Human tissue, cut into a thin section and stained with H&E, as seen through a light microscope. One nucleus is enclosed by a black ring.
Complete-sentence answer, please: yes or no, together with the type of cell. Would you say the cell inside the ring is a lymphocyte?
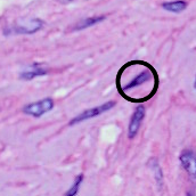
No, scored properly, the cell inside the ring is a fibroblast rather than a lymphocyte.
